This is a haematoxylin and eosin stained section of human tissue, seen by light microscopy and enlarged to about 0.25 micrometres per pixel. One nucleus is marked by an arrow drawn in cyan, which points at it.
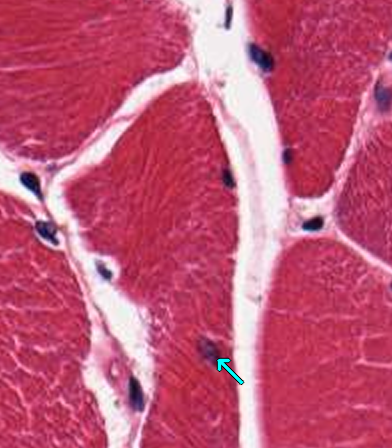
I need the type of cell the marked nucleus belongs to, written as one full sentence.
The nucleus indicated by the mark belongs to a skeletal muscle fibre.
